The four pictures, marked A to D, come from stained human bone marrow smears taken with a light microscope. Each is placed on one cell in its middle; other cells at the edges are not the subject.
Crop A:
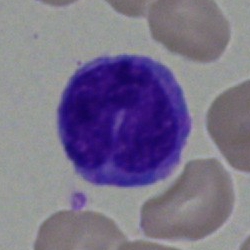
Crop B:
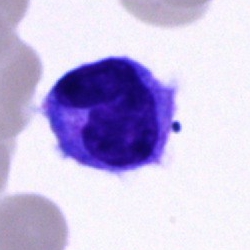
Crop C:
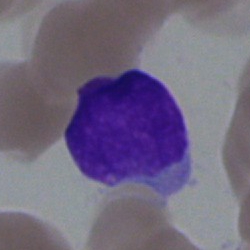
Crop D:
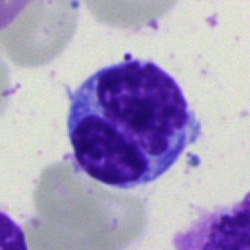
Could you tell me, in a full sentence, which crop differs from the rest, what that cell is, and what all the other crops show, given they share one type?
Apart from crop C, a blast, the crops all show monocytes.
